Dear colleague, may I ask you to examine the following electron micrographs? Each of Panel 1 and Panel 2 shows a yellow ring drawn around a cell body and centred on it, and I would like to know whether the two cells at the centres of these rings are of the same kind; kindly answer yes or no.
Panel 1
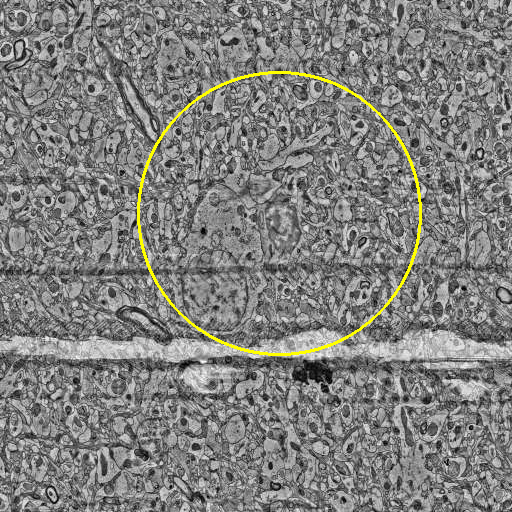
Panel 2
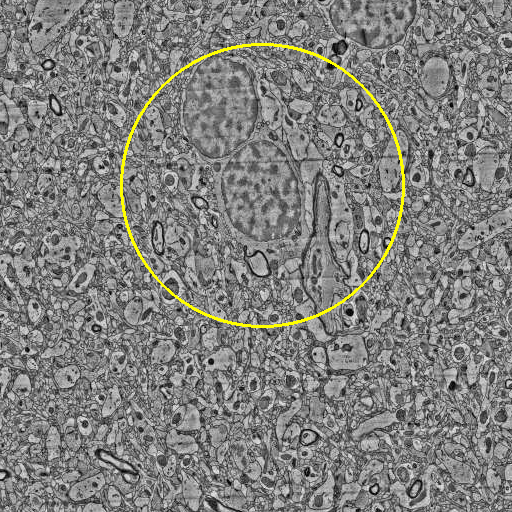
yes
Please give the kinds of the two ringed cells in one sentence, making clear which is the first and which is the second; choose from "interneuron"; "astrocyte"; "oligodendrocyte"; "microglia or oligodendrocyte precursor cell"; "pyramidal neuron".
Each of the two pictures has an oligodendrocyte at the ring centre.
